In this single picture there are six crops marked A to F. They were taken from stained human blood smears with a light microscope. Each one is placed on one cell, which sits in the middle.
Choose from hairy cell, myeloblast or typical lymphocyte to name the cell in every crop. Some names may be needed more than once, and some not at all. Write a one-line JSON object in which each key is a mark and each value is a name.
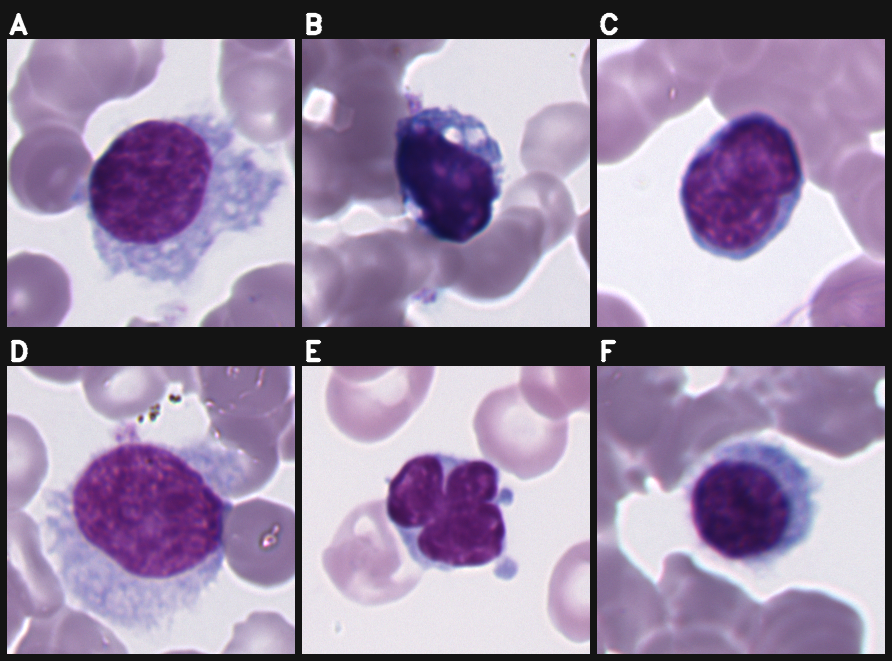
{"A": "hairy cell", "B": "typical lymphocyte", "C": "typical lymphocyte", "D": "hairy cell", "E": "typical lymphocyte", "F": "hairy cell"}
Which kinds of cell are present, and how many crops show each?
hairy cell: 3
typical lymphocyte: 3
